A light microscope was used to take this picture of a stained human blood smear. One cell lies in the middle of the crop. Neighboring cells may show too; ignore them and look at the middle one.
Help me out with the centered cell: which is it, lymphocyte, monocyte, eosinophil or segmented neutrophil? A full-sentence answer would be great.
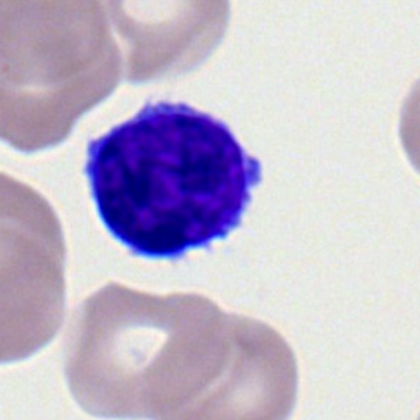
The centrally located cell in the crop is a lymphocyte.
